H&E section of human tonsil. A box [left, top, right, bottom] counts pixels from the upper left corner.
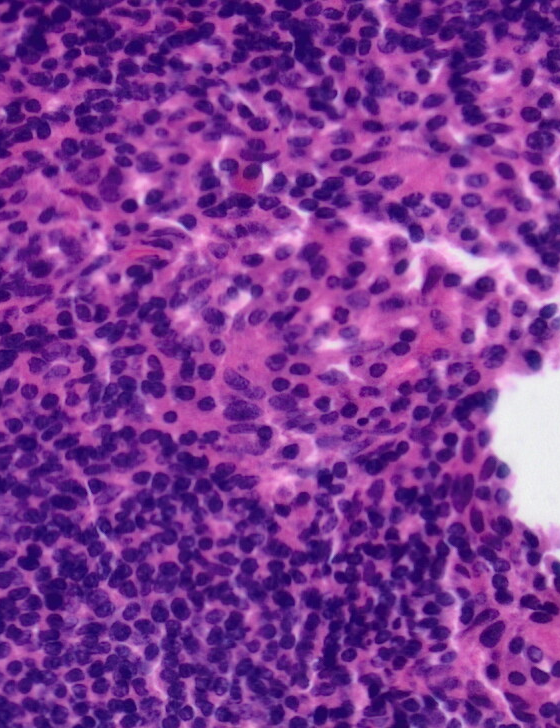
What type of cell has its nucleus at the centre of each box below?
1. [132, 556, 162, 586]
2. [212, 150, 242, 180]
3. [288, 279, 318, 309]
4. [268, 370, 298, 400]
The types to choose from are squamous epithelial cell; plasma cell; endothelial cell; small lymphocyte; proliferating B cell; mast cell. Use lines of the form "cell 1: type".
cell 1: small lymphocyte
cell 2: plasma cell
cell 3: plasma cell
cell 4: plasma cell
